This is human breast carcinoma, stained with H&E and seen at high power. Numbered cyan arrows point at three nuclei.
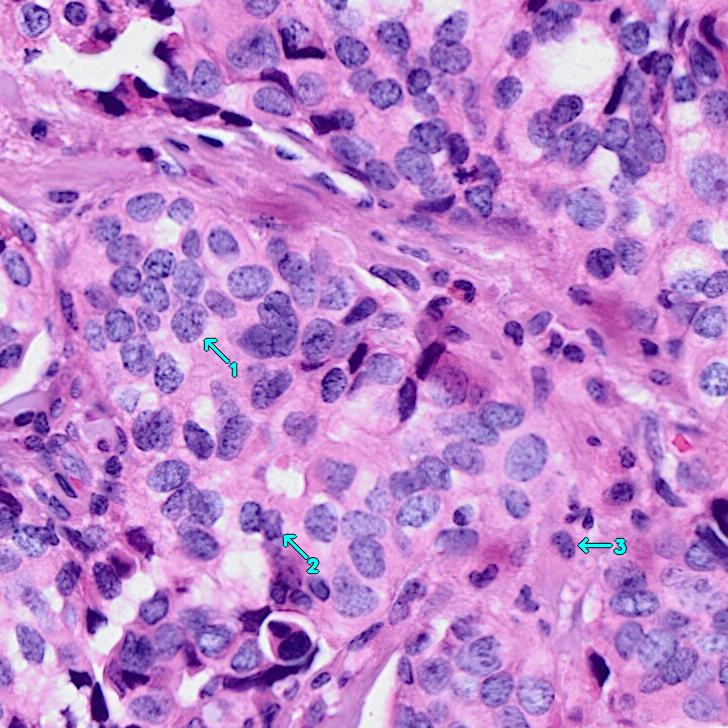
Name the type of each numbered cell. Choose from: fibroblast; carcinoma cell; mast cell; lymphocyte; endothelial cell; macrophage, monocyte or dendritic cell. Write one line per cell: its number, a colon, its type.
1: carcinoma cell
2: carcinoma cell
3: mast cell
